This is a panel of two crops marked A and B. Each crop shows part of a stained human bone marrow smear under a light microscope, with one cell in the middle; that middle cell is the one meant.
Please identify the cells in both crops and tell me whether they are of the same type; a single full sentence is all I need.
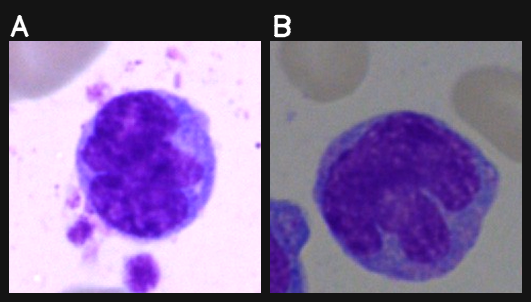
Yes, both crops are centred on cells that are monocytes.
